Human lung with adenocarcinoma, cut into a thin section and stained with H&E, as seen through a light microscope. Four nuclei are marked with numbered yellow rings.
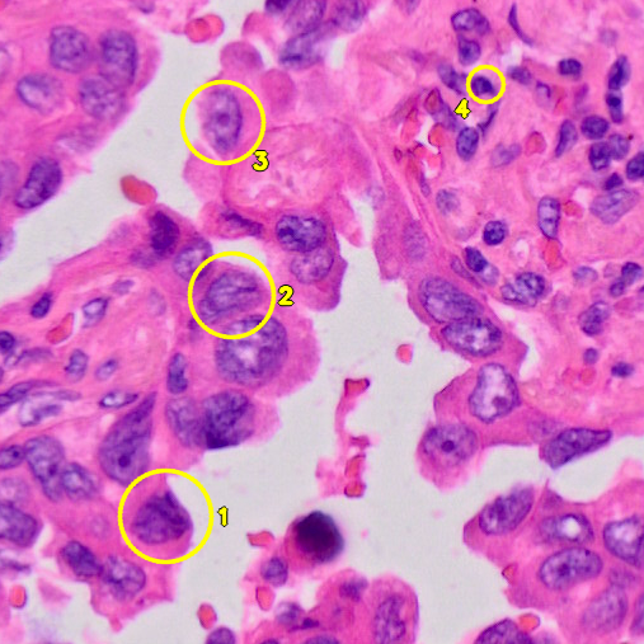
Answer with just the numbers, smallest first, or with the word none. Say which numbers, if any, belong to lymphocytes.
4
